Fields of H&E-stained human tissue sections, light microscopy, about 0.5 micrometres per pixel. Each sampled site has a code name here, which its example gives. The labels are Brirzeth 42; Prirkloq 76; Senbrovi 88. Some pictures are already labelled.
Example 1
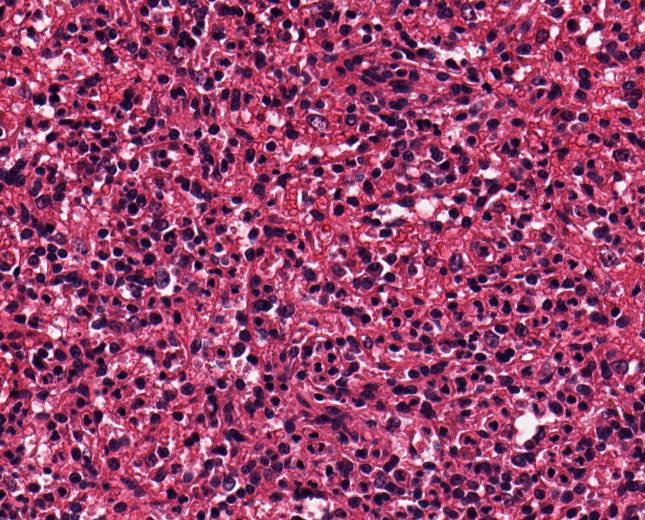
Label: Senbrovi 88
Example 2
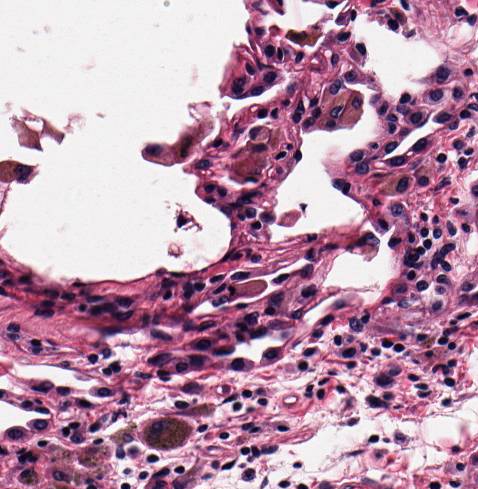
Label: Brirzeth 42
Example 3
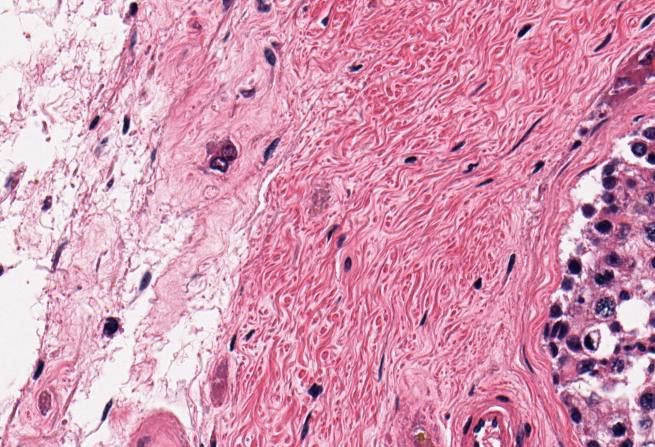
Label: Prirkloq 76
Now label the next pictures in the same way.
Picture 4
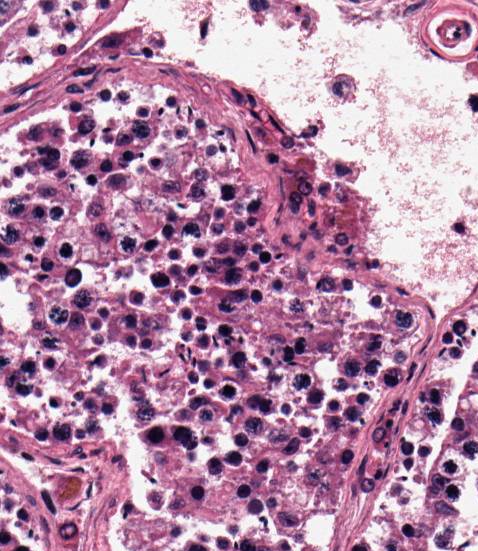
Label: Prirkloq 76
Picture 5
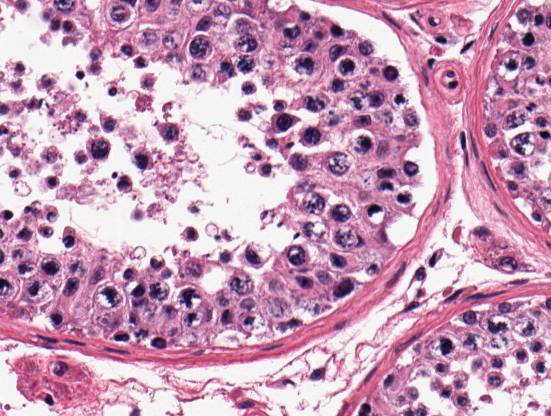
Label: Prirkloq 76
